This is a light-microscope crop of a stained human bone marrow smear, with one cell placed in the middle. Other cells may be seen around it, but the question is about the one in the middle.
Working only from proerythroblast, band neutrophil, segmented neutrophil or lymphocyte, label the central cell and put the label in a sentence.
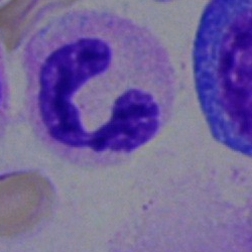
In short, the cell at the center is a segmented neutrophil.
